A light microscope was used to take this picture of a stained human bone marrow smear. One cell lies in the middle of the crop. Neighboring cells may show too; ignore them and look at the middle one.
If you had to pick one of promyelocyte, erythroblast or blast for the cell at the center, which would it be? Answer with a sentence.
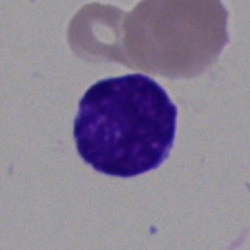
Classification of the middle cell gives a blast.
